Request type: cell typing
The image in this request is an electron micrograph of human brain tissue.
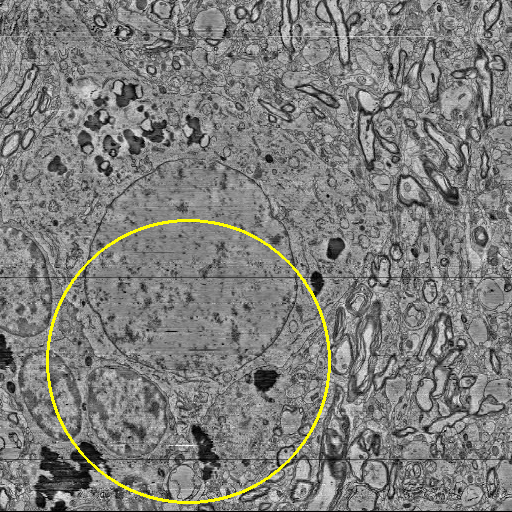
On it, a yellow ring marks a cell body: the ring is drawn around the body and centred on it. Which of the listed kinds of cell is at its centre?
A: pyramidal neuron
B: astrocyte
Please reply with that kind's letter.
A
